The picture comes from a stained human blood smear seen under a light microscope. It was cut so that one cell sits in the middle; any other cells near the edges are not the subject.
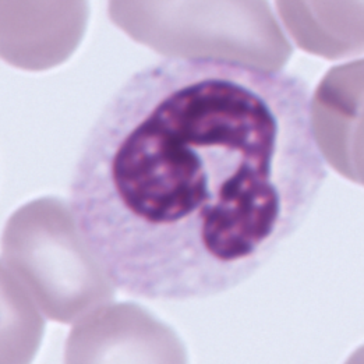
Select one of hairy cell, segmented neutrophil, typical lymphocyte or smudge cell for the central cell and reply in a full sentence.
Of the cells in this crop, the central one is a segmented neutrophil.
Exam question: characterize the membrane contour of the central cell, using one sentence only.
Its periphery is smooth, and no projections arise from it.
